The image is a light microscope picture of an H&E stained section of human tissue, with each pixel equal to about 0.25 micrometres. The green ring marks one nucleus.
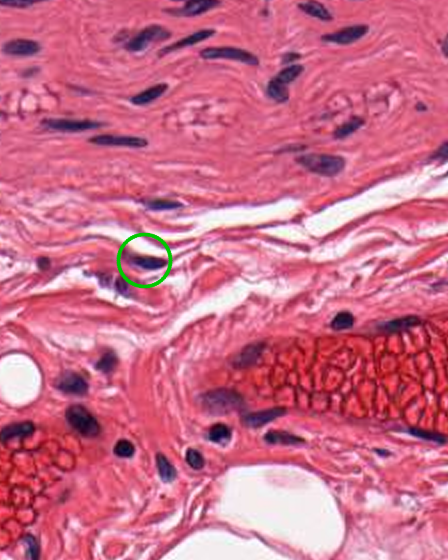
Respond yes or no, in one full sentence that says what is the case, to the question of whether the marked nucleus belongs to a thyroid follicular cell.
No, what carries the marked nucleus is a supporting cell rather than a thyroid follicular cell.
